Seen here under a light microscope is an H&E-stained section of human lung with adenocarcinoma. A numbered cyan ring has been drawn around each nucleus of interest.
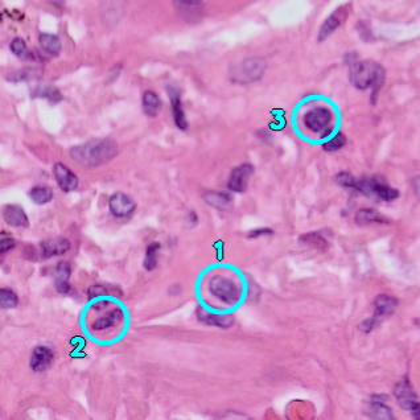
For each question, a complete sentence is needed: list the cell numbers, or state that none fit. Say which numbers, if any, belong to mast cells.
The cell marked by number 2 is a mast cell; the other marked cells are not.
